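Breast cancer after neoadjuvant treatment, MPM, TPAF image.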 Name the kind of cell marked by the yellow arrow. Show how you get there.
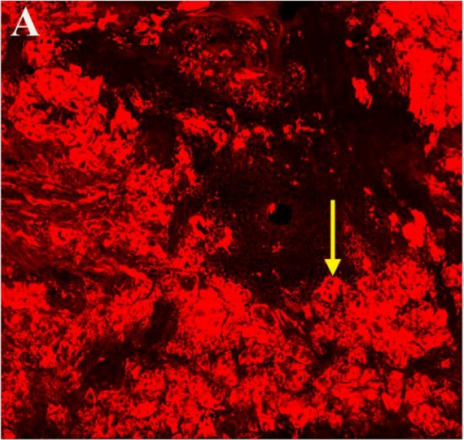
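The arrow points into a field of large, brightly red, rounded cells packed side by side. The cells have a mottled, vacuolated-looking interior. The answer: foamy cells.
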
